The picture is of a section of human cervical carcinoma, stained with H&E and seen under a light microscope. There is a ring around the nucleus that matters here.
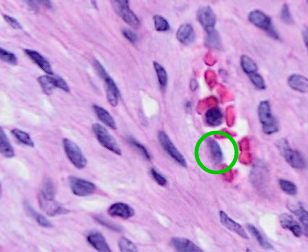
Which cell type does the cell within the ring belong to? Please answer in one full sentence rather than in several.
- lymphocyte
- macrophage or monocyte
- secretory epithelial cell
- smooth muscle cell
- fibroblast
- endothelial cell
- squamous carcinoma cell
For the purposes of cell typing, the cell within the ring is categorized as an endothelial cell.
